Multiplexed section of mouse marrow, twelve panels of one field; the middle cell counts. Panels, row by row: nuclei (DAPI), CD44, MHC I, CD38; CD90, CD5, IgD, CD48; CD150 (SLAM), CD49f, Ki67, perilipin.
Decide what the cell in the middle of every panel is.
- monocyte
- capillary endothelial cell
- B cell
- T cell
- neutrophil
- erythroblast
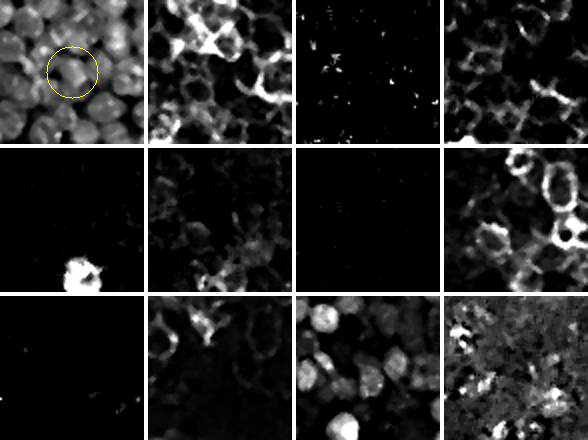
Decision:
erythroblast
